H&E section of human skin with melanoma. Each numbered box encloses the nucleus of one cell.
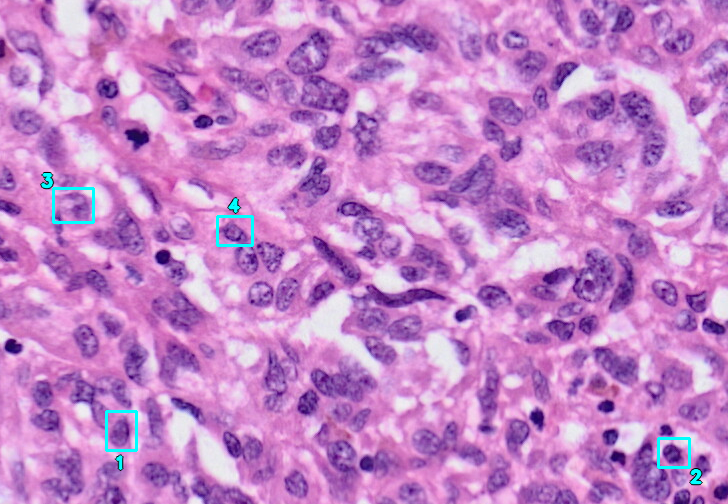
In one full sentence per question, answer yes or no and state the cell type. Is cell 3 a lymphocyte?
No, cell 3 represents a melanoma cell rather than a lymphocyte.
